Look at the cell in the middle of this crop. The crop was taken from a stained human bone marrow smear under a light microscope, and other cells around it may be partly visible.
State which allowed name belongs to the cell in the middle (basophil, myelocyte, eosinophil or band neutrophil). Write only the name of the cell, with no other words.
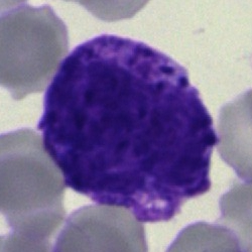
basophil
